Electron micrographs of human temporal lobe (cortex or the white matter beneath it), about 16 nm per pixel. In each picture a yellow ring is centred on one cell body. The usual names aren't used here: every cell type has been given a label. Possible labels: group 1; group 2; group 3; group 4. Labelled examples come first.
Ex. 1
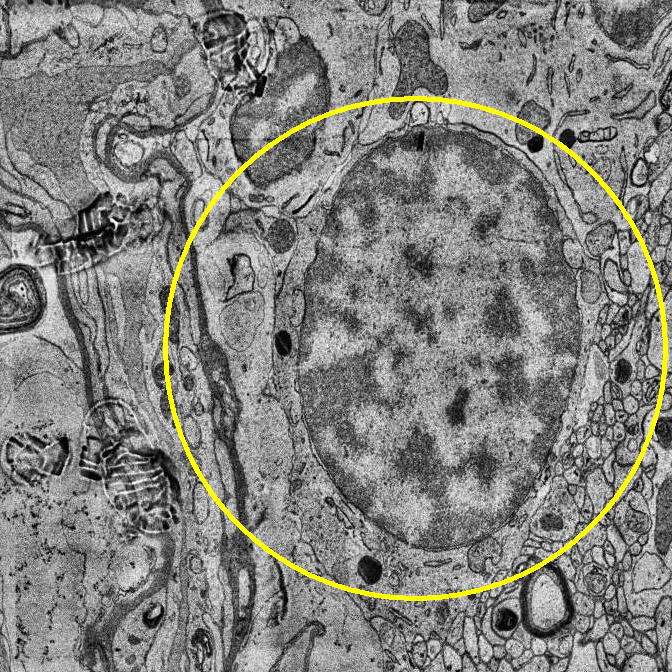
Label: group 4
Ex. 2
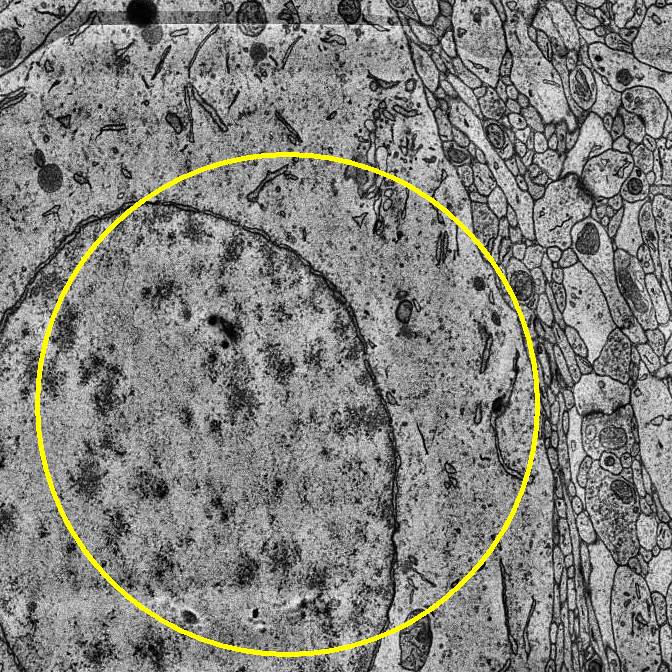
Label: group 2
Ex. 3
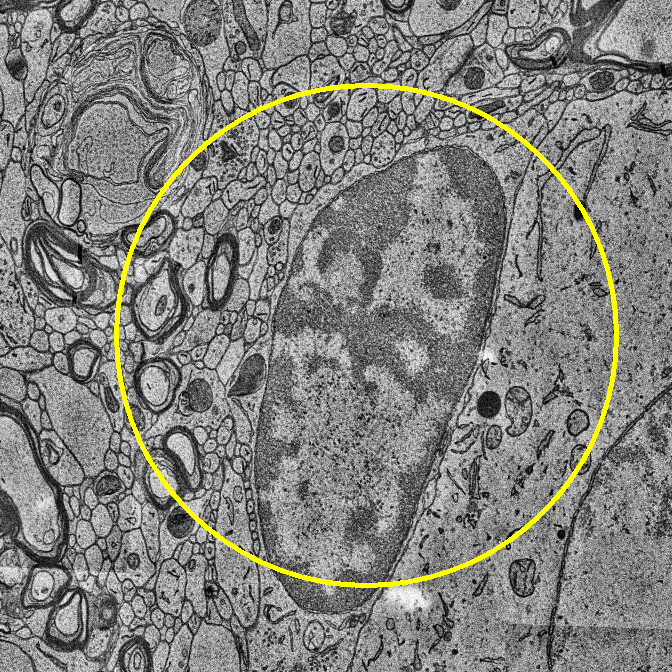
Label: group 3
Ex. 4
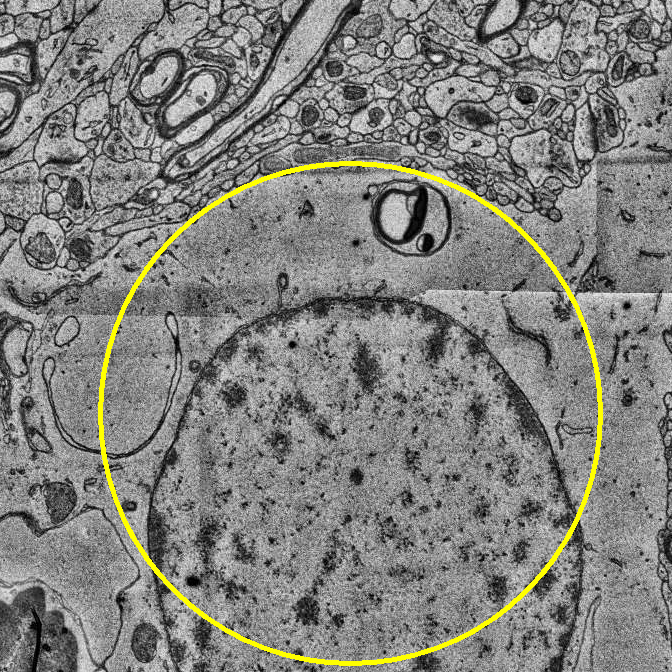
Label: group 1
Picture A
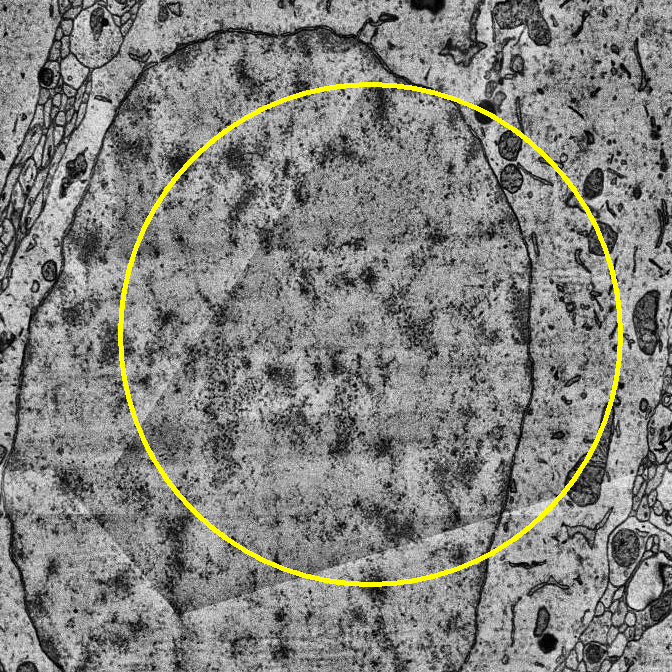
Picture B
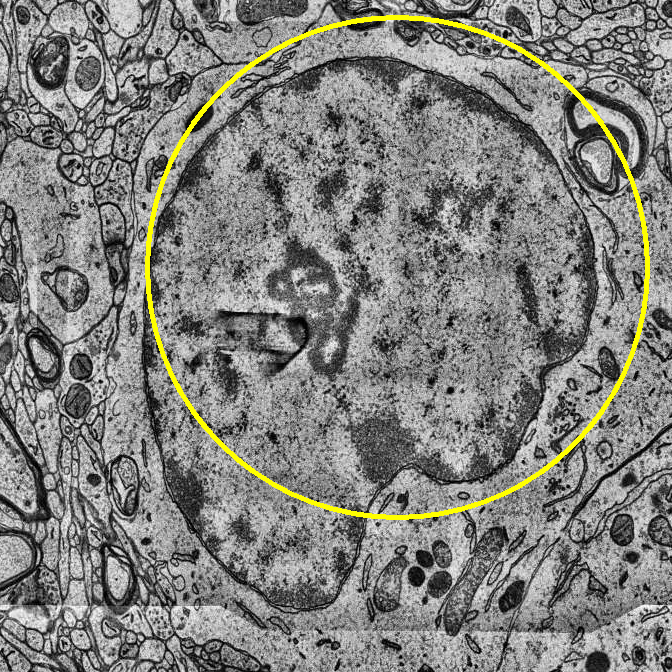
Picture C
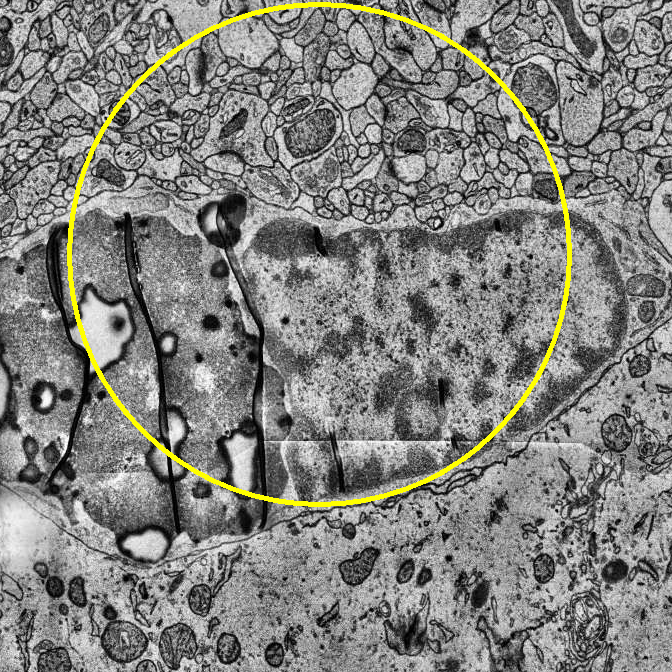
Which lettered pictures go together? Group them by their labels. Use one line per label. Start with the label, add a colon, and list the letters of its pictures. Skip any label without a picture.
group 2: A
group 3: B, C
